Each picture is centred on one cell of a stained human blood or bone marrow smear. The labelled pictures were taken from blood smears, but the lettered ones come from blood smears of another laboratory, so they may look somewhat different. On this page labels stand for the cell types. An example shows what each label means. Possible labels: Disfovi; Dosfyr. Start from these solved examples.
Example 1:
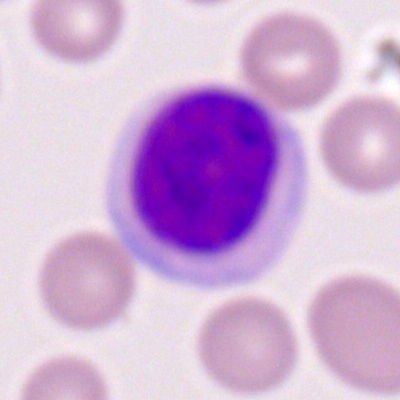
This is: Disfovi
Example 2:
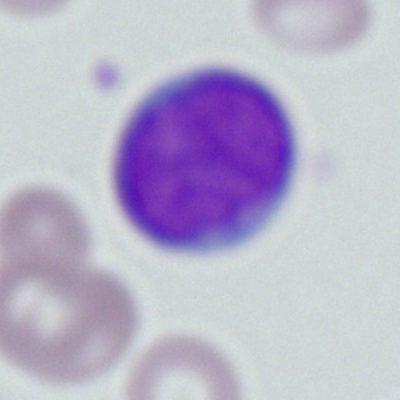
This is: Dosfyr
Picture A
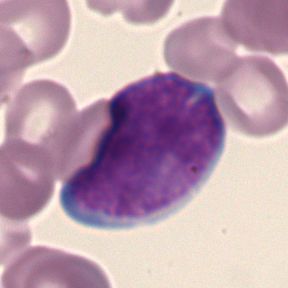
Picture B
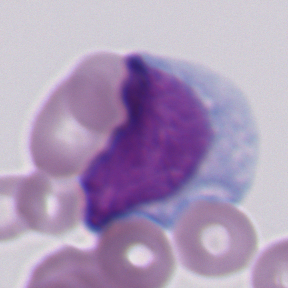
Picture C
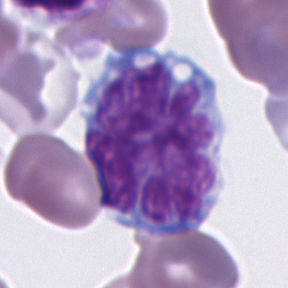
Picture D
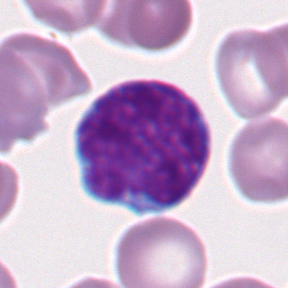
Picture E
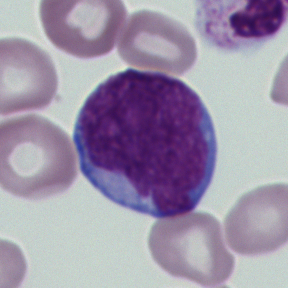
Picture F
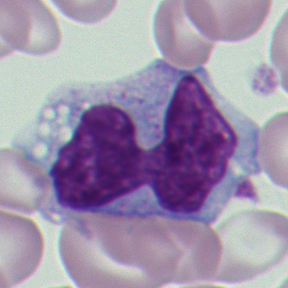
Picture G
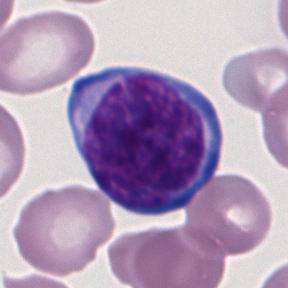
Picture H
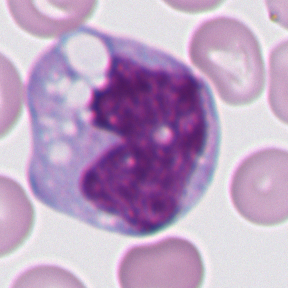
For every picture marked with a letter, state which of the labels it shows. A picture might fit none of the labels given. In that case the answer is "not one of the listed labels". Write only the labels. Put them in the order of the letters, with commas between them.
Dosfyr, Dosfyr, not one of the listed labels, Dosfyr, Dosfyr, not one of the listed labels, Dosfyr, not one of the listed labels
